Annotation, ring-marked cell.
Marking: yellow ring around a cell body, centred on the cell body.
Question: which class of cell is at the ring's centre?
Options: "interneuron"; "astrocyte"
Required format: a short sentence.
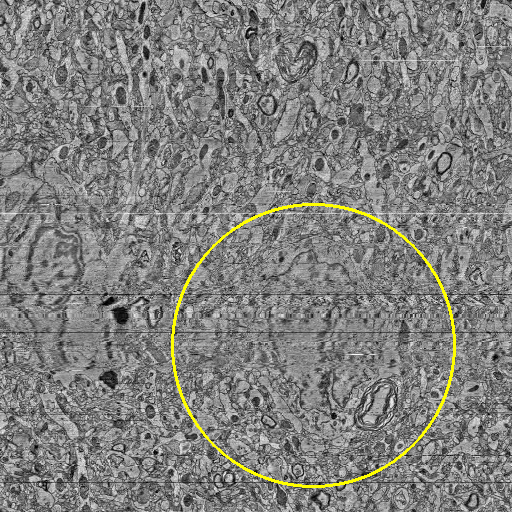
At the ring's centre is an interneuron.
